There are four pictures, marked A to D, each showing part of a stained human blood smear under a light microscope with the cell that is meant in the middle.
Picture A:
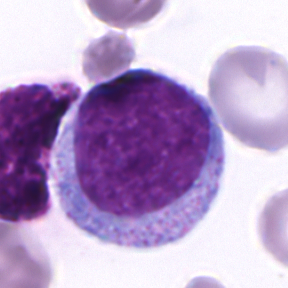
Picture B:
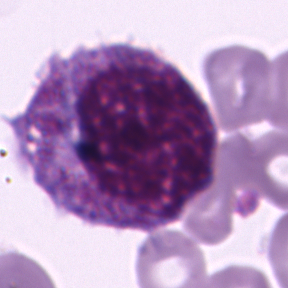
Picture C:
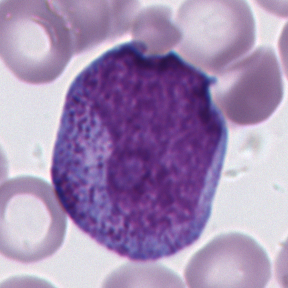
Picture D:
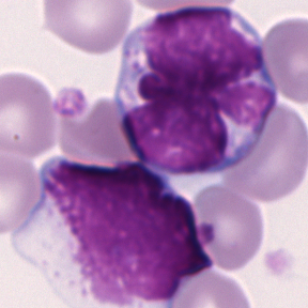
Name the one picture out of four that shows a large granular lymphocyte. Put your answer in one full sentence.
Picture D is the one that shows the large granular lymphocyte.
